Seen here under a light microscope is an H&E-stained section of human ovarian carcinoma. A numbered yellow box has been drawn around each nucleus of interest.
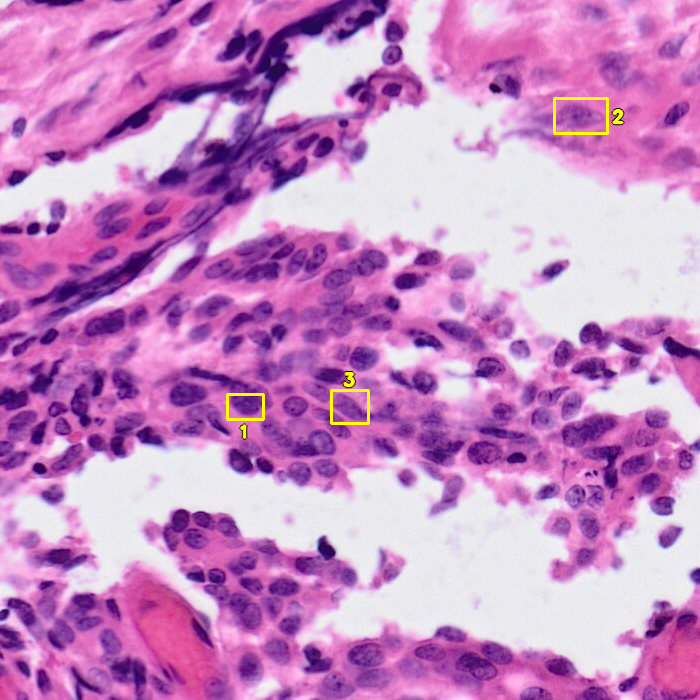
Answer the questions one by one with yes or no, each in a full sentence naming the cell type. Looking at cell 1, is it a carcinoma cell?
Yes, cell 1 among the marked cells is a carcinoma cell.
